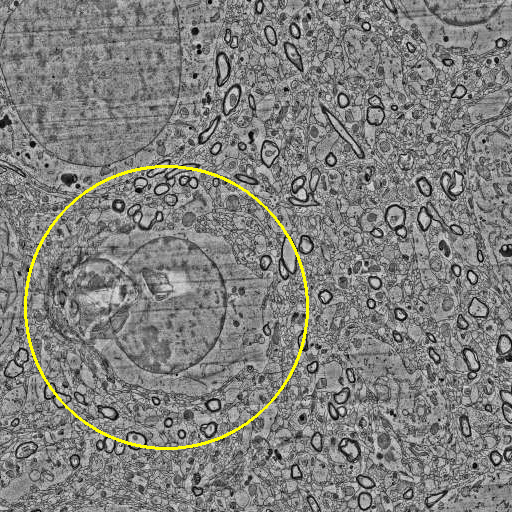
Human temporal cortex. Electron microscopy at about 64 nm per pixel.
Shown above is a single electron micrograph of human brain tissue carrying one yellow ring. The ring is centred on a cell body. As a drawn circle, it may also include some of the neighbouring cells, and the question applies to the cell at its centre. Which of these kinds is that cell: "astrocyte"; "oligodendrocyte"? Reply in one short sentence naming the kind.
The cell marked by the ring is an astrocyte.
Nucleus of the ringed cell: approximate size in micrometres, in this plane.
In this plane the nucleus spans approximately 9 by 7 micrometers.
